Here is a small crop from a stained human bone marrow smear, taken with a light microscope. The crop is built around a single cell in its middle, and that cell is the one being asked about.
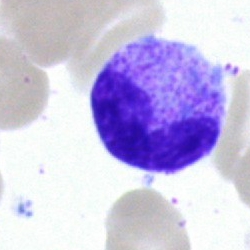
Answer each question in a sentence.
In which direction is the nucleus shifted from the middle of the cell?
The nucleus sits off-centre, toward the lower left.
